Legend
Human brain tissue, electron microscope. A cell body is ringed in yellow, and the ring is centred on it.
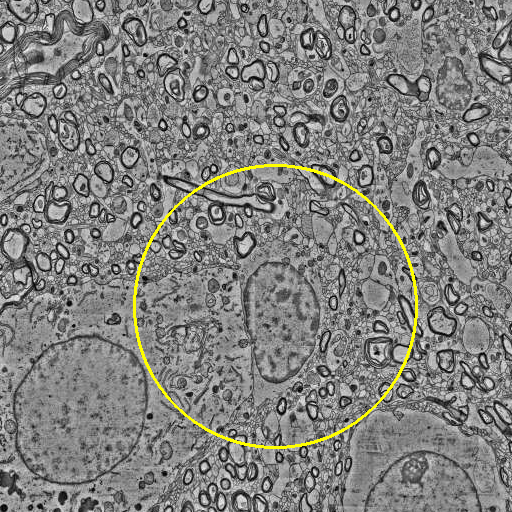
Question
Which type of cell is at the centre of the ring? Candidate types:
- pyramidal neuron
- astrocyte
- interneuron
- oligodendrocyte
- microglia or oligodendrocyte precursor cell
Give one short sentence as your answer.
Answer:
The yellow ring is centred here on an oligodendrocyte.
